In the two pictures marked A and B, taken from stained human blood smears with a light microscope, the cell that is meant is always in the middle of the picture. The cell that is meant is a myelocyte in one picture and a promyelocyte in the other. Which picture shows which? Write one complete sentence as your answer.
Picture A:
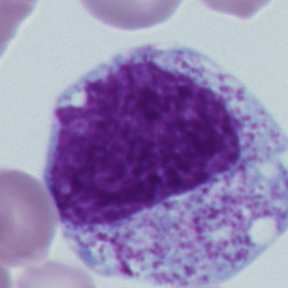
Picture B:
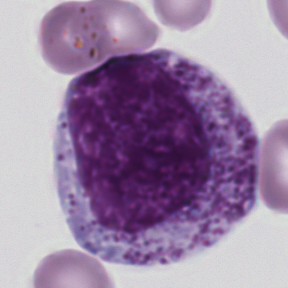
The cell in picture A is a myelocyte, and the one in picture B is a promyelocyte.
